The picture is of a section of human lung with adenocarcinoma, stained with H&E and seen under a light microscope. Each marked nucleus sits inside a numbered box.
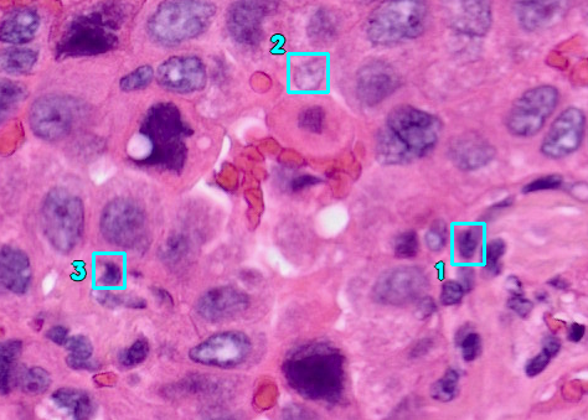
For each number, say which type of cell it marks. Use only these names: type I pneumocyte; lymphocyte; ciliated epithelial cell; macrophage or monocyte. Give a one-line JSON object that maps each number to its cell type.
{"1": "lymphocyte", "2": "macrophage or monocyte", "3": "lymphocyte"}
